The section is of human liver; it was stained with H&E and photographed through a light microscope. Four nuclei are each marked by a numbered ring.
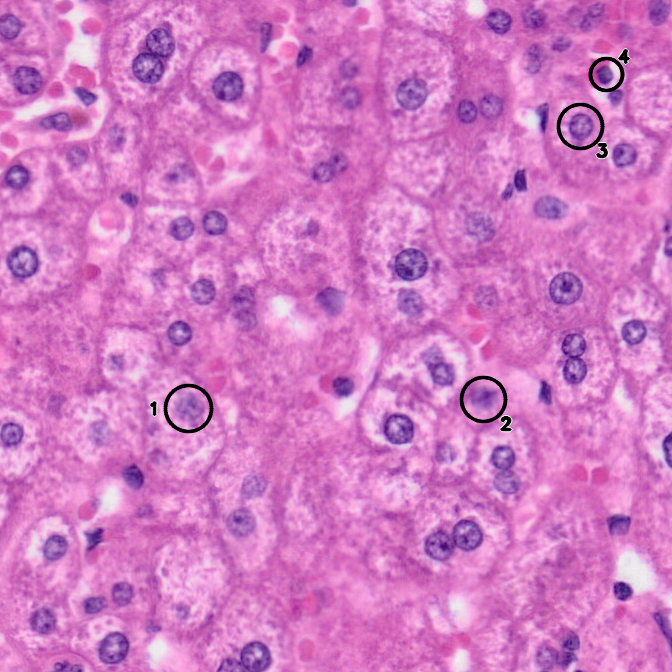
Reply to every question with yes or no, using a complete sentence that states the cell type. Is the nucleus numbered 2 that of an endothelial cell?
Yes, the cell that the number 2 labels is an endothelial cell.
